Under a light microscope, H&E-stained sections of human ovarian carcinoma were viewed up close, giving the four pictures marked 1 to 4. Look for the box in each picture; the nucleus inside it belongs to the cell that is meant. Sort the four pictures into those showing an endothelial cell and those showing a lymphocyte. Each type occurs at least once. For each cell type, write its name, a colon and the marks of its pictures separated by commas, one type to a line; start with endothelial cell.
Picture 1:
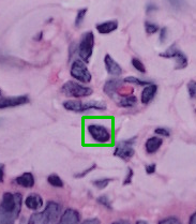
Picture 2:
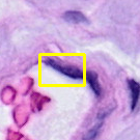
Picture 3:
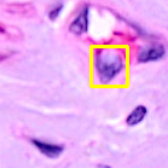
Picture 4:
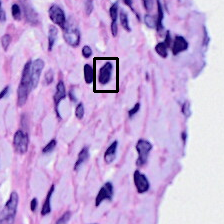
endothelial cell: 2, 3
lymphocyte: 1, 4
